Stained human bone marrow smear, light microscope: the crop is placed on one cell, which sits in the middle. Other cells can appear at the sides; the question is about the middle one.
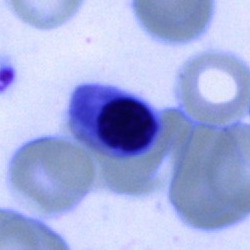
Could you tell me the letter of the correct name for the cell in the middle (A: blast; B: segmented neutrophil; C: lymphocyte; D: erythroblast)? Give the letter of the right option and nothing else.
D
